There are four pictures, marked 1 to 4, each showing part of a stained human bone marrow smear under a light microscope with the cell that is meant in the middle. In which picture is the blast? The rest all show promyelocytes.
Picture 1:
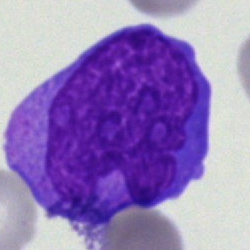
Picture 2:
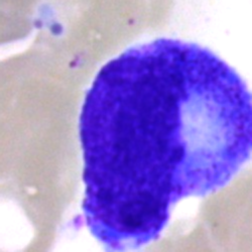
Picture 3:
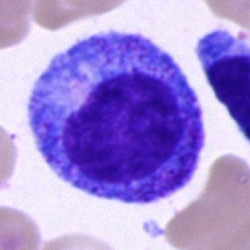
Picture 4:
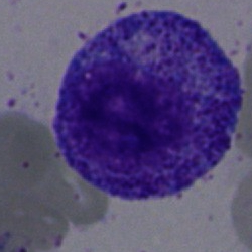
1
